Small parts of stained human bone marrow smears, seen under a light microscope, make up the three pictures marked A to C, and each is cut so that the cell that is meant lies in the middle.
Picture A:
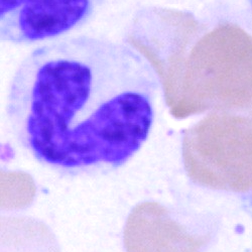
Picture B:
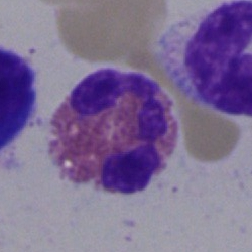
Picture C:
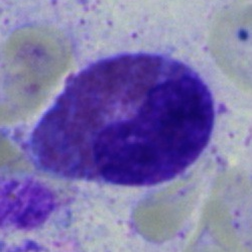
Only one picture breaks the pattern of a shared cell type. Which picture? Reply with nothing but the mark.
A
